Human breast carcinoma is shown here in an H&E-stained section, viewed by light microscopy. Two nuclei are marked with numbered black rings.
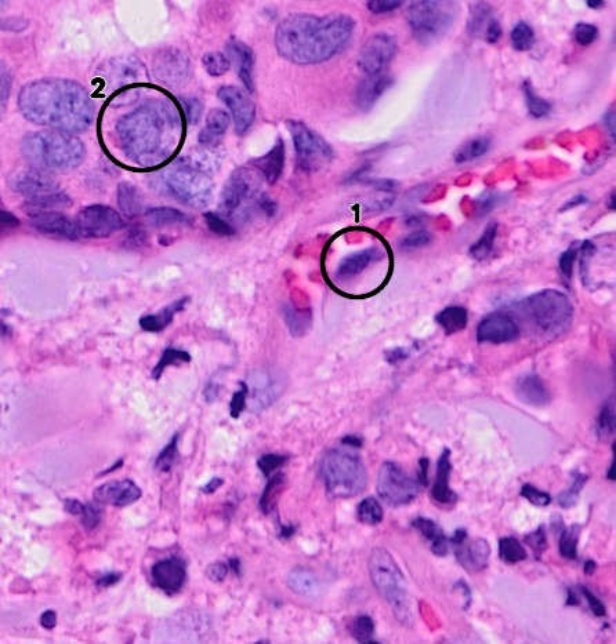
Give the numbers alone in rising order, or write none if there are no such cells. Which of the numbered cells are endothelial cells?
1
